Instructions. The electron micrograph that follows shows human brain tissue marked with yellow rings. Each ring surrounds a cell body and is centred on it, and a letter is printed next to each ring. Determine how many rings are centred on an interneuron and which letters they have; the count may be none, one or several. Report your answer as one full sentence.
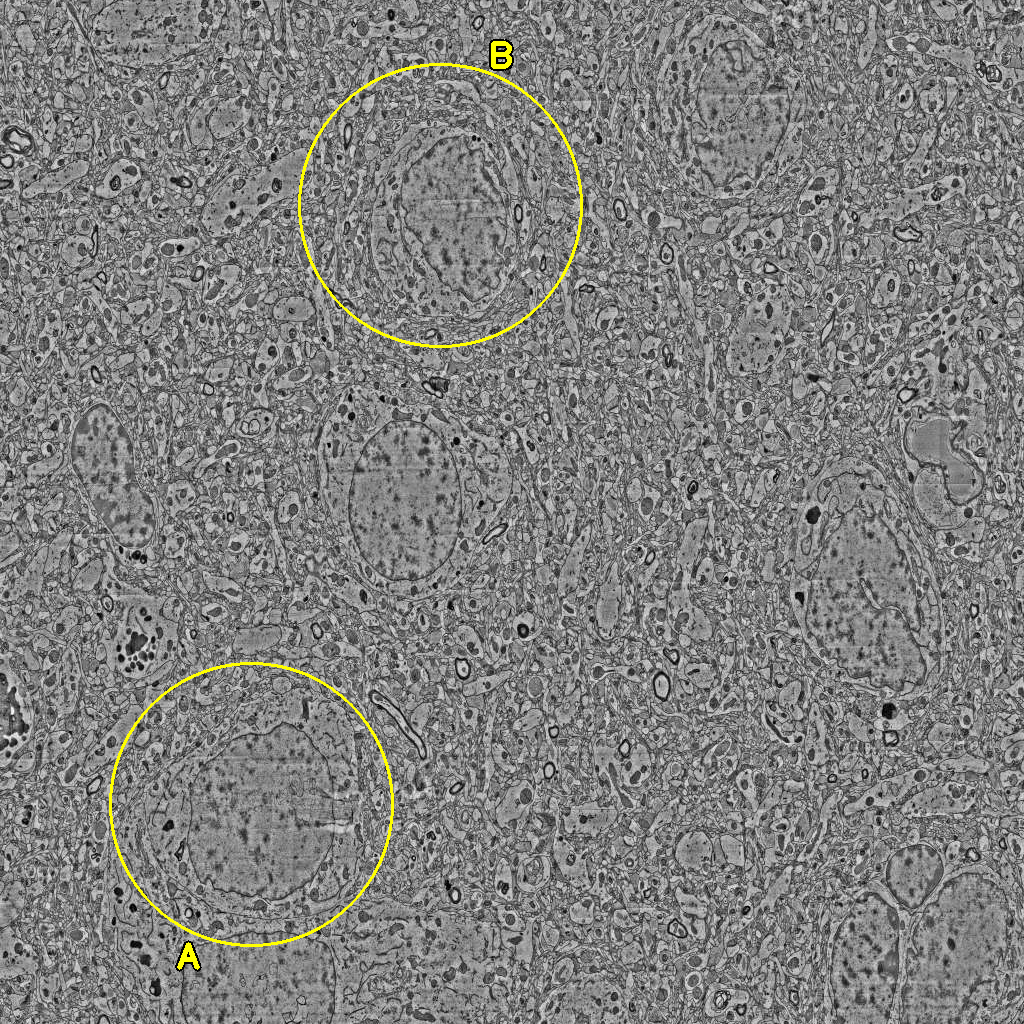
Only one ring, the ring lettered B, is centred on an interneuron.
